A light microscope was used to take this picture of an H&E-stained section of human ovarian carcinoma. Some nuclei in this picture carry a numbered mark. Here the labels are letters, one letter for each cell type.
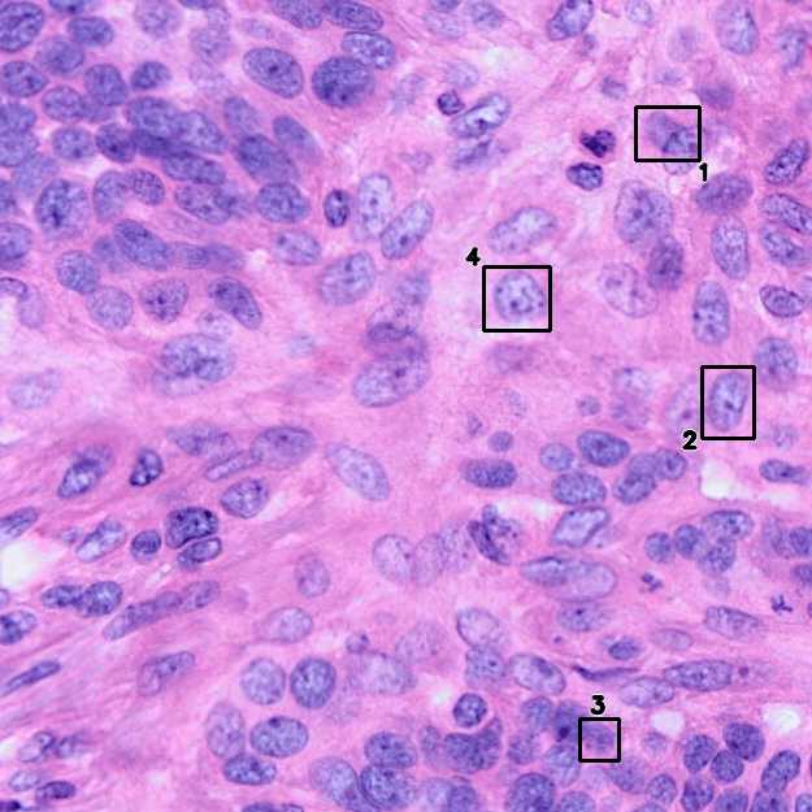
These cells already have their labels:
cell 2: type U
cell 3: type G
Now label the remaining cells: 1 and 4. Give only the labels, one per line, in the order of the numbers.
type U
type U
